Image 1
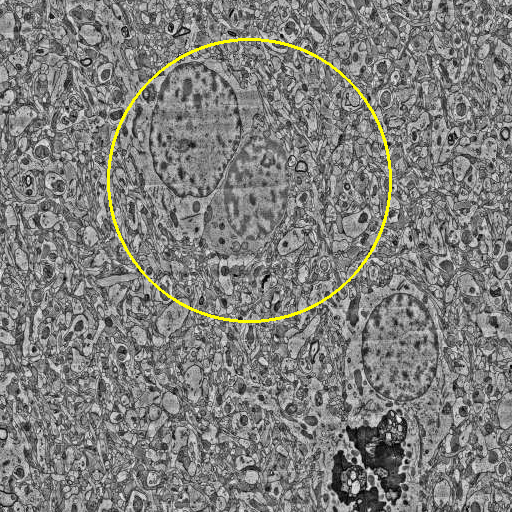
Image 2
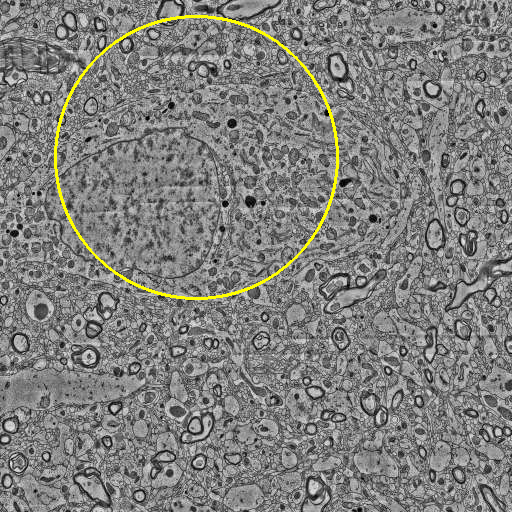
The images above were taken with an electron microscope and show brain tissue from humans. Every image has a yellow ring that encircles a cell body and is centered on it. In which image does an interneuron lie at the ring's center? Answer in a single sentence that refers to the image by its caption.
In Image 2, the cell at the center of the yellow ring is the correct match.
